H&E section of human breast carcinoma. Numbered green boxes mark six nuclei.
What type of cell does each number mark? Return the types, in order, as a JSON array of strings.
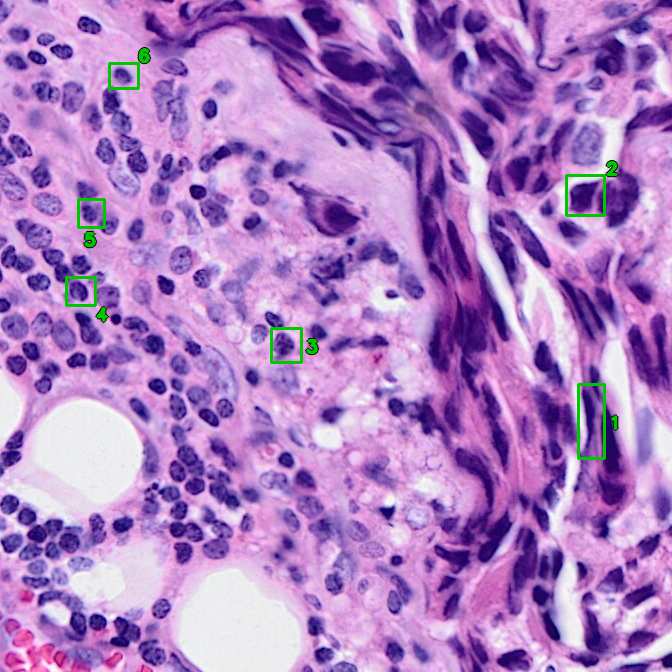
["carcinoma cell", "carcinoma cell", "lymphocyte", "lymphocyte", "lymphocyte", "lymphocyte"]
